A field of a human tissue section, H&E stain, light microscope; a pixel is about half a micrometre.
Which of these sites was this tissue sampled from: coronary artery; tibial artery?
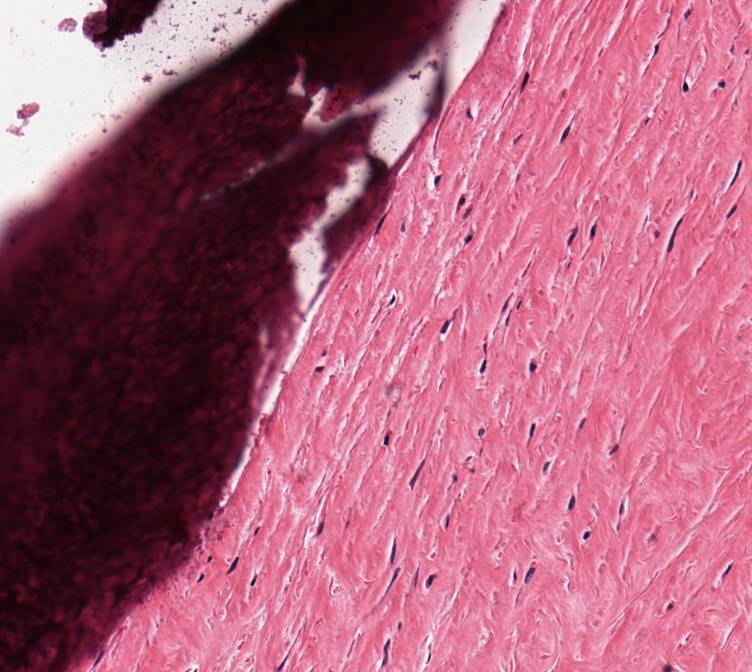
coronary artery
